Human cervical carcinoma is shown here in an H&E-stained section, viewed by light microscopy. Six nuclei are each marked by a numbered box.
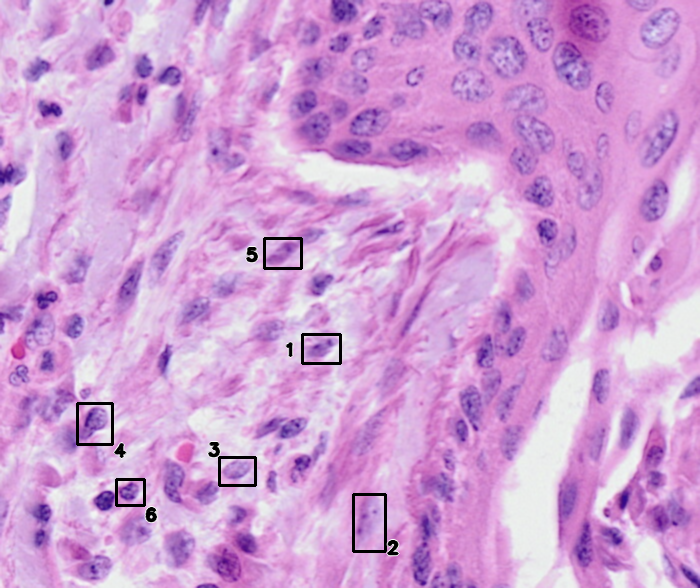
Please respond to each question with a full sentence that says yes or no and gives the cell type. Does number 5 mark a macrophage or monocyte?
No, the cell labelled 5 is a fibroblast and not a macrophage or monocyte.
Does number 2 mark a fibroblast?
Yes, and to answer plainly, cell 2 is a fibroblast.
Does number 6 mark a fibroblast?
No, the right label for cell 6 is a lymphocyte rather than a fibroblast.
